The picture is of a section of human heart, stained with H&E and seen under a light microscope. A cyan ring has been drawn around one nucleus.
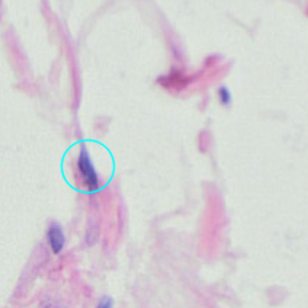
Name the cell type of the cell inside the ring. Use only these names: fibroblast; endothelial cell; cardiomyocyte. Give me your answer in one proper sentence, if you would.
Histopathologically, the cell inside the ring is a fibroblast.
